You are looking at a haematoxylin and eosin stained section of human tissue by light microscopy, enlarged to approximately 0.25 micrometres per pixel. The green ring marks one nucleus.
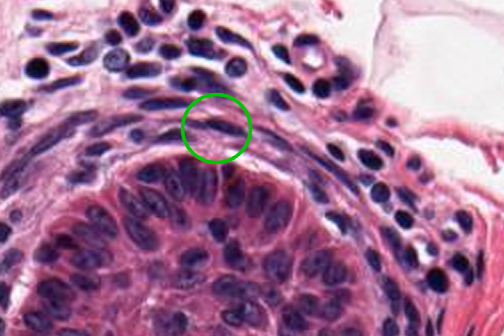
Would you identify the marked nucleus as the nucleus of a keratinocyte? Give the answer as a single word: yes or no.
no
